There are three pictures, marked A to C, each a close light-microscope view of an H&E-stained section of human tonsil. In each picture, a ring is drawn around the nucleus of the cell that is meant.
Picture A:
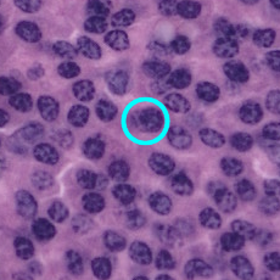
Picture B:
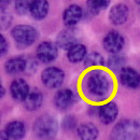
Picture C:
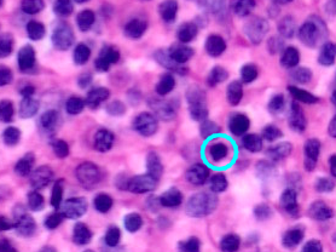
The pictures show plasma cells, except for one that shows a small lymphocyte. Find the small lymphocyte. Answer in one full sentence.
The picture with the small lymphocyte is C.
